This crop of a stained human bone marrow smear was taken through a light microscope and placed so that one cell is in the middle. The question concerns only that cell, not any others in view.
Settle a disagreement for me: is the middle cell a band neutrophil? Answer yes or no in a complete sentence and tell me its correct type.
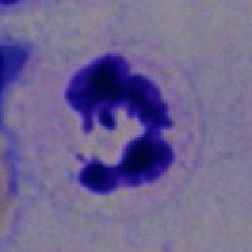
No, what is centred in the crop is not a band neutrophil but a segmented neutrophil.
